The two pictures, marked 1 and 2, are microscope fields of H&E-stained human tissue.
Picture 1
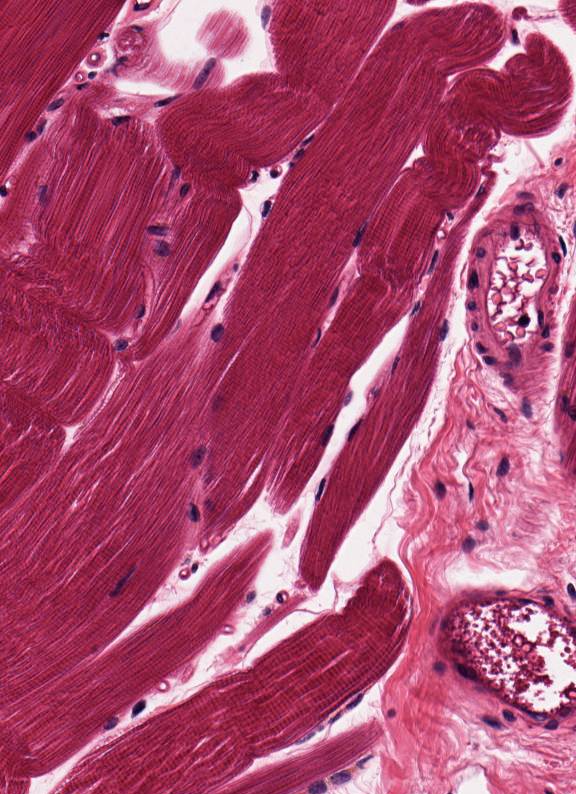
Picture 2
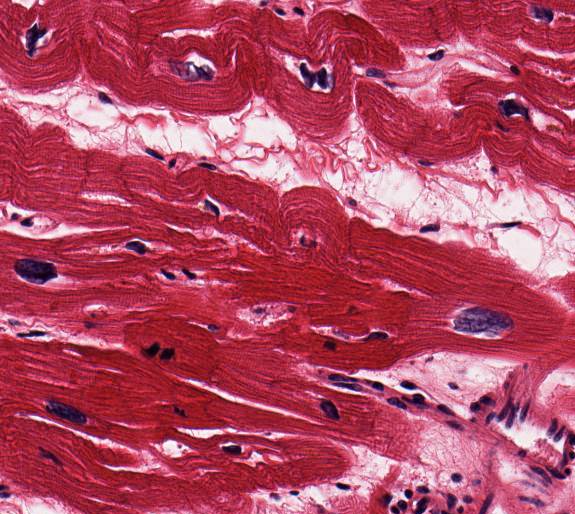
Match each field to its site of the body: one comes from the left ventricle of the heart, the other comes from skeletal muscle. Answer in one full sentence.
Picture 1 comes from skeletal muscle; picture 2 comes from the left ventricle of the heart.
